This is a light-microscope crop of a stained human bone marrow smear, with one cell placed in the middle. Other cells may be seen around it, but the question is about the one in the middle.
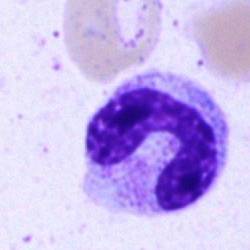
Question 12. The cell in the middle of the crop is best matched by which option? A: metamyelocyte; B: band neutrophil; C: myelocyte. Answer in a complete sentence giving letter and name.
The cell in the middle is correctly identified as a band neutrophil in option B.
